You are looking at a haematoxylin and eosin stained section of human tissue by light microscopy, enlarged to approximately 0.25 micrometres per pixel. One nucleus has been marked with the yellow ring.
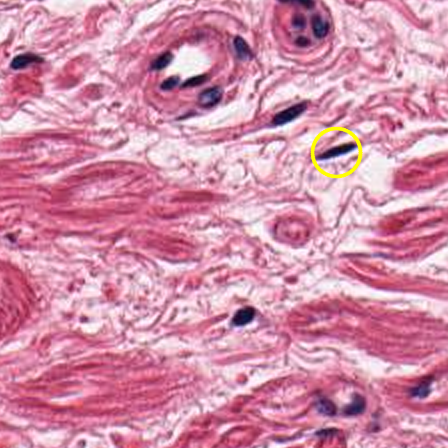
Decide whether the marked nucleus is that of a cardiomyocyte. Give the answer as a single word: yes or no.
no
